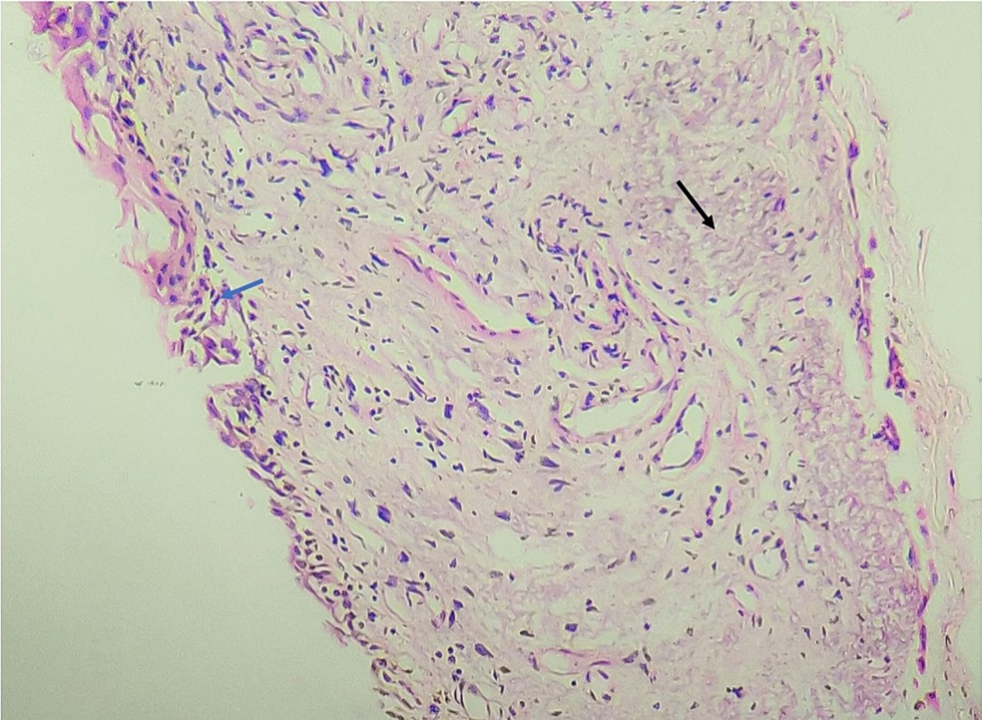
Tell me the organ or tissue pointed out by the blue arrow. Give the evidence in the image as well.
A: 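The blue arrow points at a thin layer of cells along the left edge of the section. These surface cells are flattened and have pink cytoplasm, unlike the loose tissue beneath them.
Answer: squamous epithelium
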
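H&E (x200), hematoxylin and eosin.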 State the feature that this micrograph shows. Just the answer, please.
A: Well-vascularized stroma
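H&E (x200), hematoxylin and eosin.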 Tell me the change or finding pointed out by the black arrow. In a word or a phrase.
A: Basophilic fibrillary degeneration of the fibroelastic tissue.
